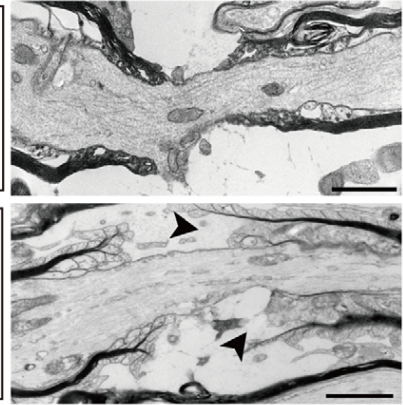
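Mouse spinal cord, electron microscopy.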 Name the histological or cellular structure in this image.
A: Node of Ranvier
